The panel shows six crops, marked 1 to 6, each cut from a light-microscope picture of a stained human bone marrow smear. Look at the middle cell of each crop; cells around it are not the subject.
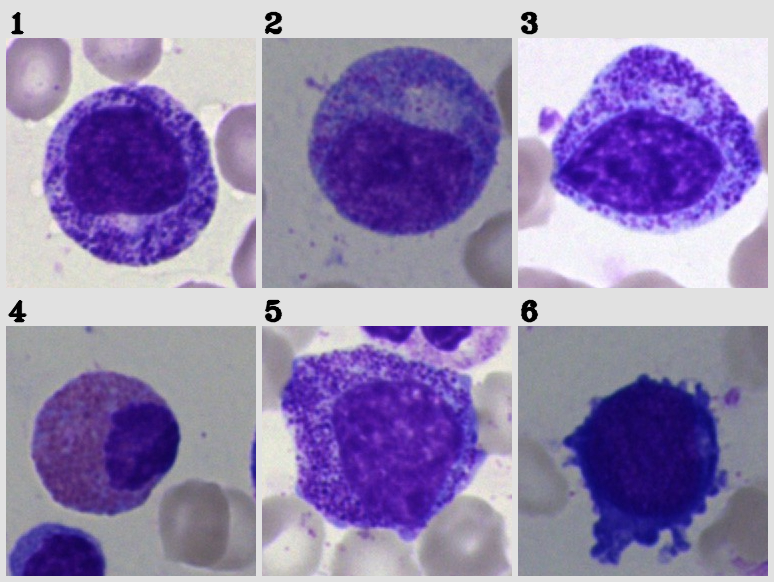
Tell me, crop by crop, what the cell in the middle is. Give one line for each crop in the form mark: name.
1: myelocyte
2: promyelocyte
3: myelocyte
4: eosinophil
5: promyelocyte
6: proerythroblast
